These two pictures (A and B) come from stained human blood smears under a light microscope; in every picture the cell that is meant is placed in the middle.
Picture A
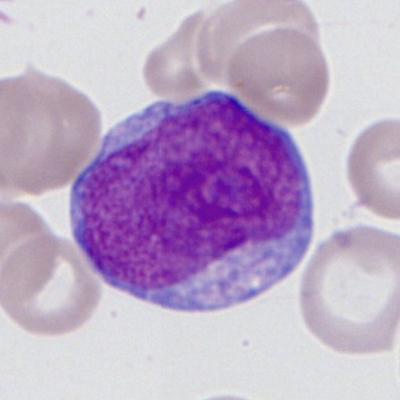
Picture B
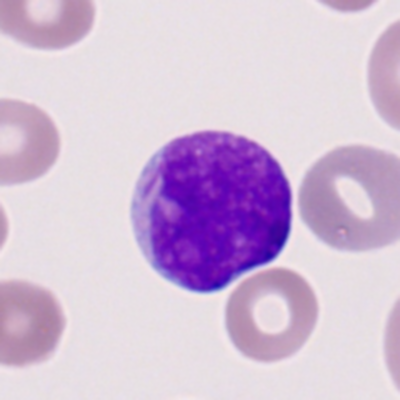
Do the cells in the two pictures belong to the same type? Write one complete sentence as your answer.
Yes; the cells in both pictures are myeloblasts.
